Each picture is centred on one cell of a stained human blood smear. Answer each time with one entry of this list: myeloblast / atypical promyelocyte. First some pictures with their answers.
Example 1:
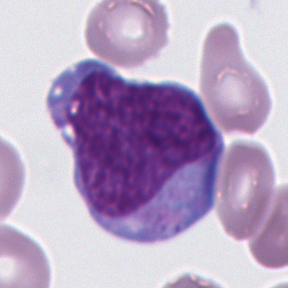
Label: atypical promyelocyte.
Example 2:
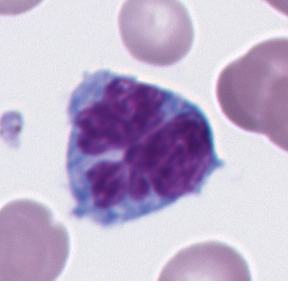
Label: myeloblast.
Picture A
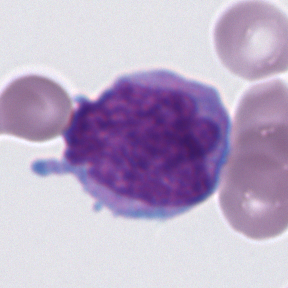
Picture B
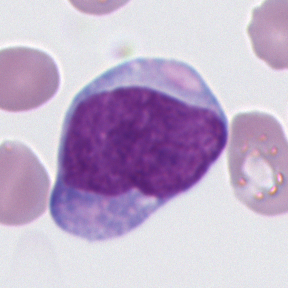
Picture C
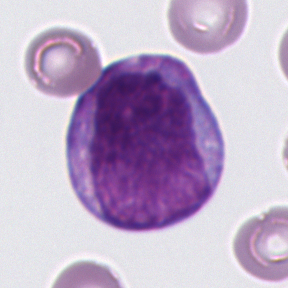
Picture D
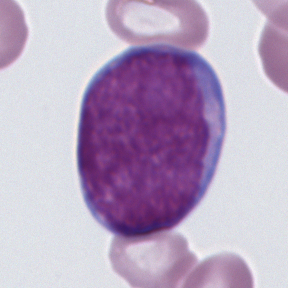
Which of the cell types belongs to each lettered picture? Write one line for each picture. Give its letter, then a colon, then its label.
A: atypical promyelocyte.
B: atypical promyelocyte.
C: atypical promyelocyte.
D: myeloblast.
